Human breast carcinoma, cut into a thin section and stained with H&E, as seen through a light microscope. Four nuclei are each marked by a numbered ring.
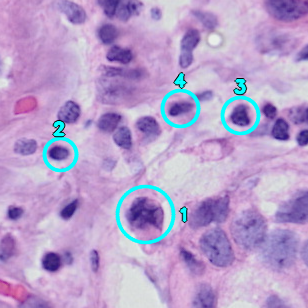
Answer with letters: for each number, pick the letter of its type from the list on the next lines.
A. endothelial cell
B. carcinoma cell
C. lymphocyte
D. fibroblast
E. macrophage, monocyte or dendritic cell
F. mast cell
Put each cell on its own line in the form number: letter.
1: B
2: C
3: C
4: C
